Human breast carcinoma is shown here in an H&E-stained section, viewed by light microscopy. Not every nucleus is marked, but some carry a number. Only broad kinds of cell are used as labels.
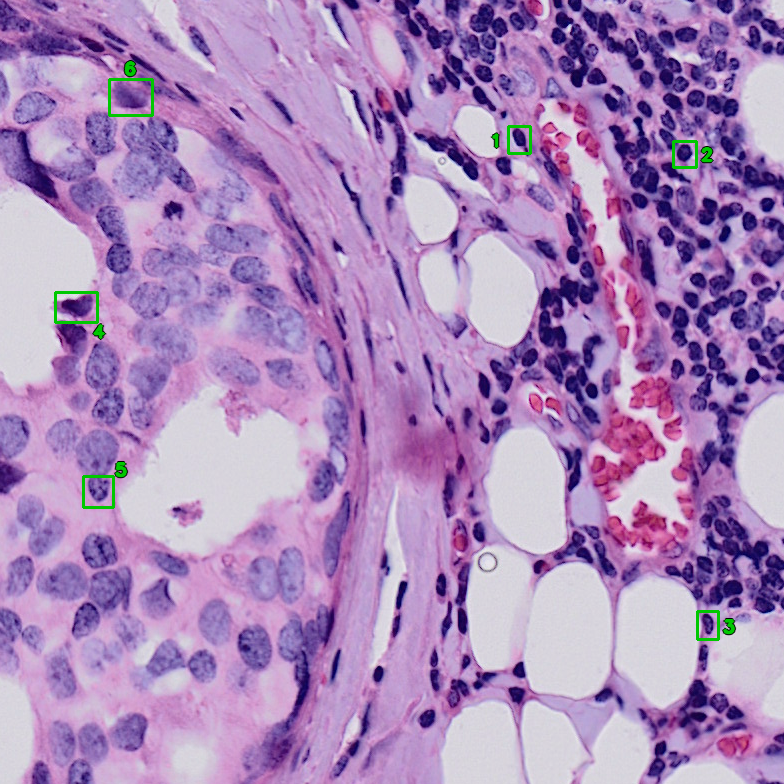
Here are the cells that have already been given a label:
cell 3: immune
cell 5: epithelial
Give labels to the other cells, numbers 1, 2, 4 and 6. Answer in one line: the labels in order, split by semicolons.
immune; immune; epithelial; epithelial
